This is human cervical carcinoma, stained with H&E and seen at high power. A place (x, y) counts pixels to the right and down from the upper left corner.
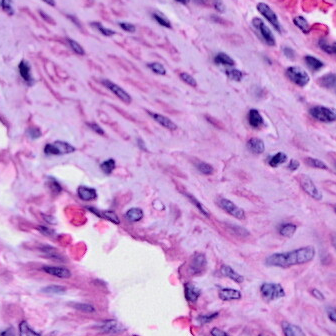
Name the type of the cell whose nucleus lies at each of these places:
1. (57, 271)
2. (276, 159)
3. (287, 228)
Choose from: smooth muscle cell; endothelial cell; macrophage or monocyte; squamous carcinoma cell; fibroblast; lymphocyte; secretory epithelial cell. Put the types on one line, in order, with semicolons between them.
endothelial cell; lymphocyte; smooth muscle cell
